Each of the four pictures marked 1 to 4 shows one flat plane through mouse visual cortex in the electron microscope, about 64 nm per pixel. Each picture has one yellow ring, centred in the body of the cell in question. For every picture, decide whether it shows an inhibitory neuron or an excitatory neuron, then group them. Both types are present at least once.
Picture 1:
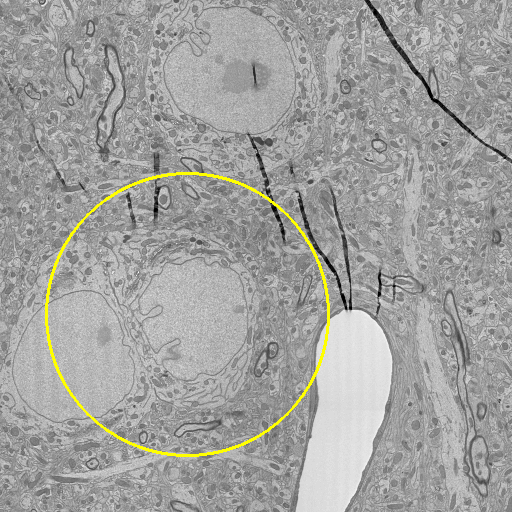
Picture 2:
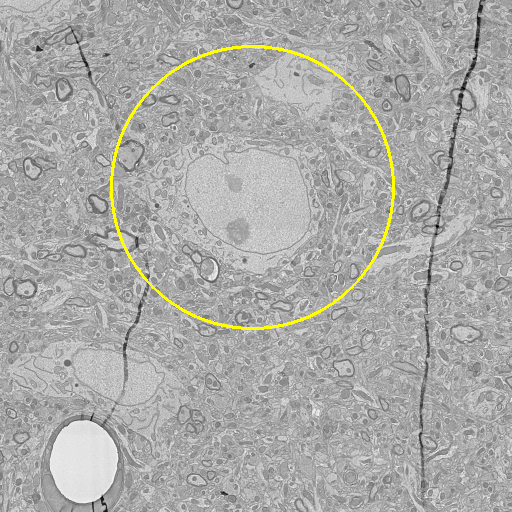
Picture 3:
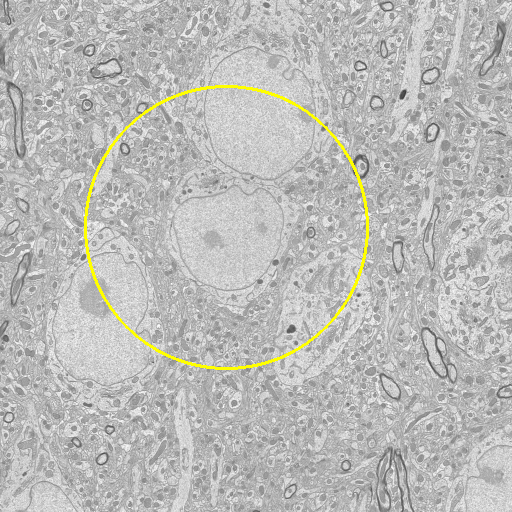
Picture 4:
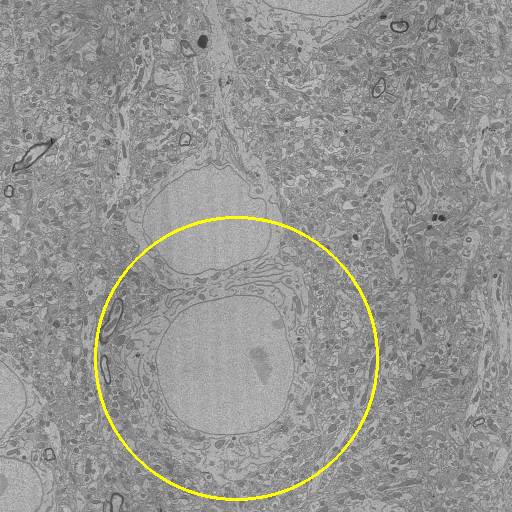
Picture 1 shows an inhibitory neuron, while pictures 2, 3 and 4 show excitatory neurons.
